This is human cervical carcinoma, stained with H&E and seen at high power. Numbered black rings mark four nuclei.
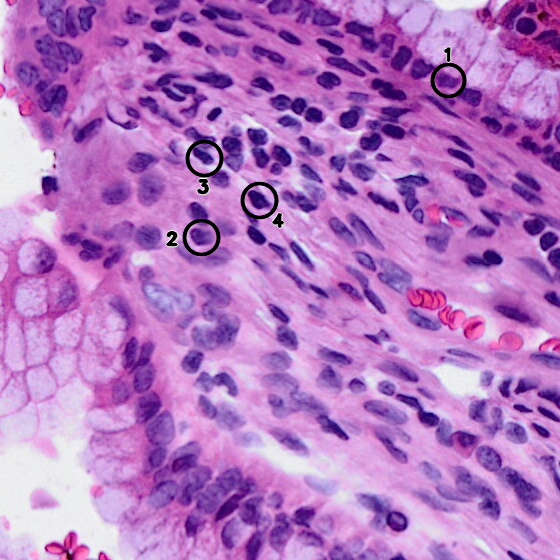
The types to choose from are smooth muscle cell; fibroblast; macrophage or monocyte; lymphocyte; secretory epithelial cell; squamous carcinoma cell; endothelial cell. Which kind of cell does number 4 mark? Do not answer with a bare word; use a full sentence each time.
The cell that goes by number 4 is a lymphocyte.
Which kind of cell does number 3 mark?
The cell to which the number 3 is assigned is a lymphocyte.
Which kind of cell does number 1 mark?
The cell pointed out by number 1 is a secretory epithelial cell.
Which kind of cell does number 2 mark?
The cell that carries the label 2 is a lymphocyte.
